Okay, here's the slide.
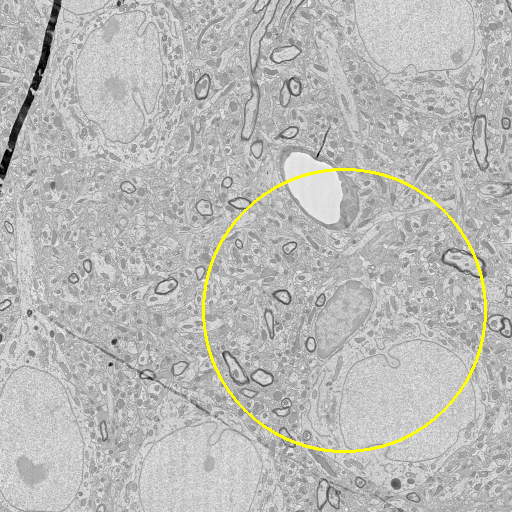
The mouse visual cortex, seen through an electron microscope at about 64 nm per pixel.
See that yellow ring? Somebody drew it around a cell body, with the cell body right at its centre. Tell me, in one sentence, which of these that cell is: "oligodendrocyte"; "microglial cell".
The cell in the middle of the ring is a microglial cell.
